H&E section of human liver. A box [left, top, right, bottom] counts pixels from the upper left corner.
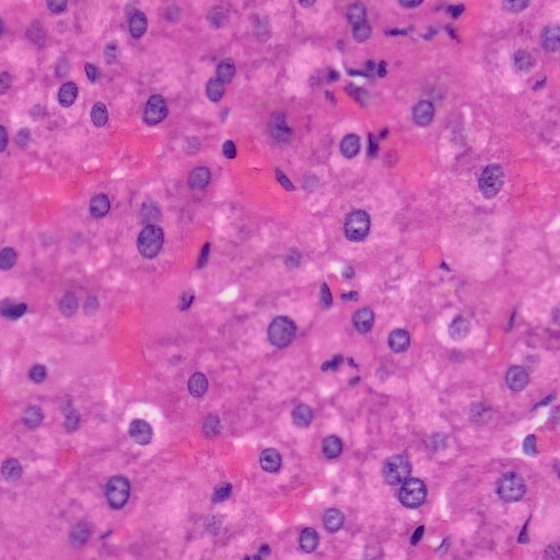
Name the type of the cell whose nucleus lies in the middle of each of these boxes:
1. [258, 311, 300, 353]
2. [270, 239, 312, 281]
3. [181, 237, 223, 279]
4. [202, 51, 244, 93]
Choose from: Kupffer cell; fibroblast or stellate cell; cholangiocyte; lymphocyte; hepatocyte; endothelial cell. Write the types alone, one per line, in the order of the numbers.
hepatocyte
hepatocyte
endothelial cell
hepatocyte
